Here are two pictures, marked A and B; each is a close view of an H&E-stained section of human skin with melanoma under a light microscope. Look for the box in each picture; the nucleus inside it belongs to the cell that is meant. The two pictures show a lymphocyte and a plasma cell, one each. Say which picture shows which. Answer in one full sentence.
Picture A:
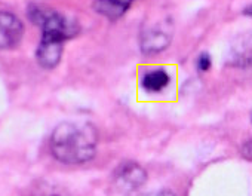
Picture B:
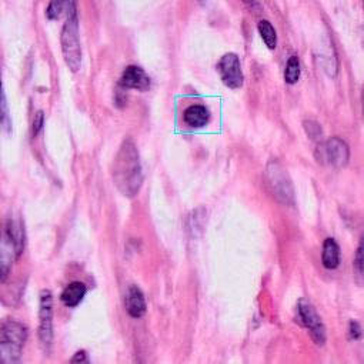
Picture A shows a lymphocyte and picture B shows a plasma cell.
